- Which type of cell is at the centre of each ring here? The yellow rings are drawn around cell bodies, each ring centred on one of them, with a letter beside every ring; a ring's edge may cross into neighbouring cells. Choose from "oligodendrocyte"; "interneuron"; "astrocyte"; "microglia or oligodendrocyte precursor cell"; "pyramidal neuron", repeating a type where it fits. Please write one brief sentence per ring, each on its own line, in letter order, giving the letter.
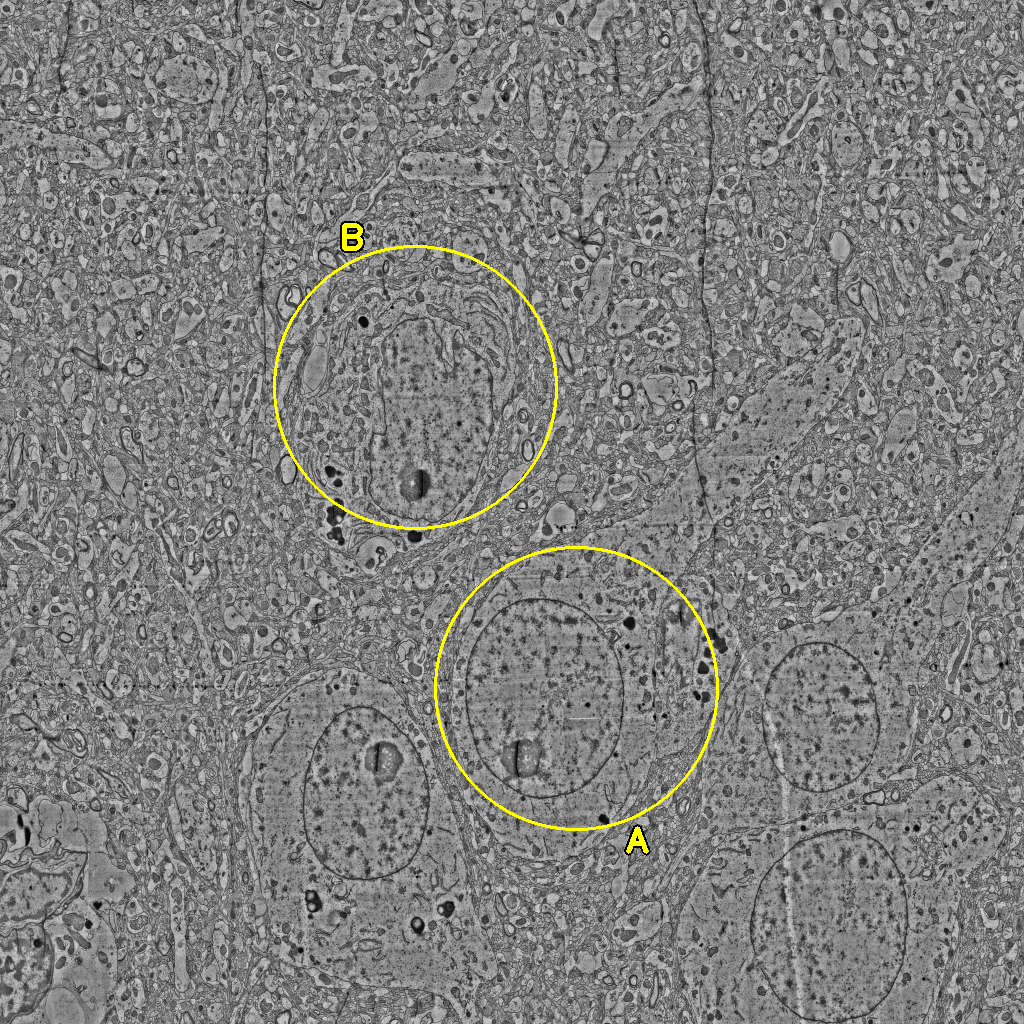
Ring A is centred over a pyramidal neuron.
Ring B is centred over an interneuron.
